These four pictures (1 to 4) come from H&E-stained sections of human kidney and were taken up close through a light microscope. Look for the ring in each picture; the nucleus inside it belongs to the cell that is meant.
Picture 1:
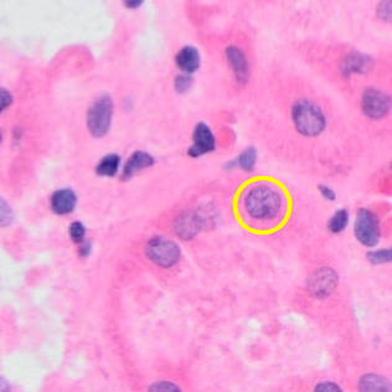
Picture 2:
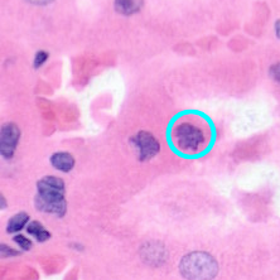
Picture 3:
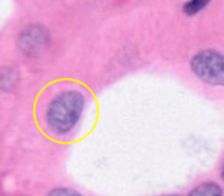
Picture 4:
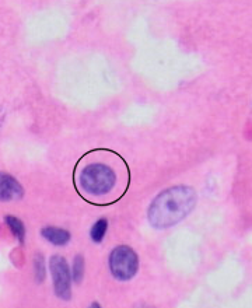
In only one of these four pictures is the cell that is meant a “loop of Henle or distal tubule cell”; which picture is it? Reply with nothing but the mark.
3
